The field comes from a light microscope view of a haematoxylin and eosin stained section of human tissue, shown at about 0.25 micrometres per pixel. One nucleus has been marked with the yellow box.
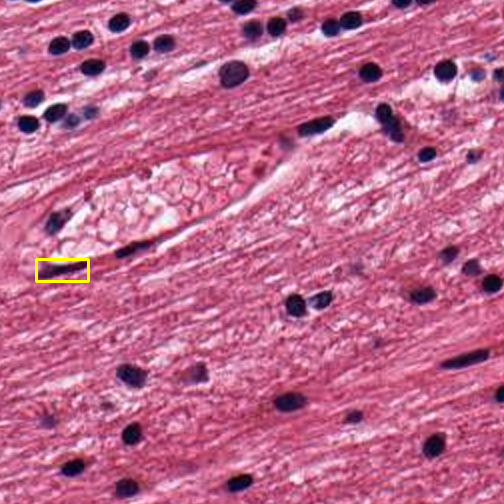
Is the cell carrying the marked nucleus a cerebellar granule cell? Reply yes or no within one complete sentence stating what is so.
No, rather than a cerebellar granule cell, it is a supporting cell that contains the marked nucleus.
